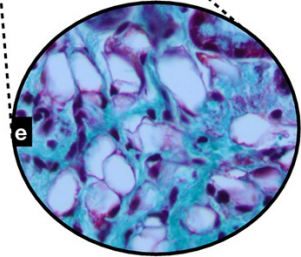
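Large clear rounded to polygonal empty spaces occupy most of the field, separated by thin purple-pink rims and turquoise collagen strands. Dark purple nuclei sit squeezed at the margins of the spaces, and looser turquoise fibres with scattered nuclei lie at the right edge.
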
